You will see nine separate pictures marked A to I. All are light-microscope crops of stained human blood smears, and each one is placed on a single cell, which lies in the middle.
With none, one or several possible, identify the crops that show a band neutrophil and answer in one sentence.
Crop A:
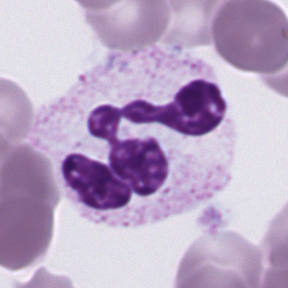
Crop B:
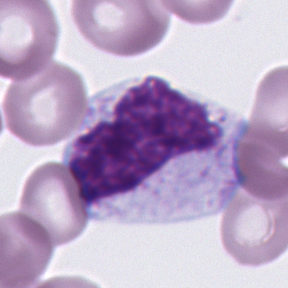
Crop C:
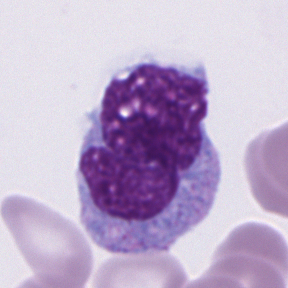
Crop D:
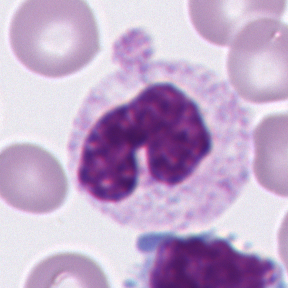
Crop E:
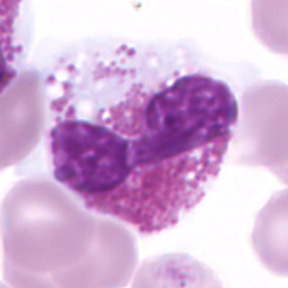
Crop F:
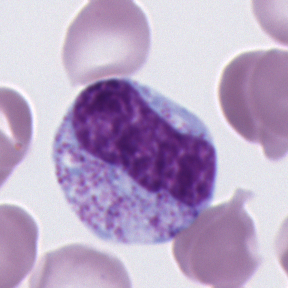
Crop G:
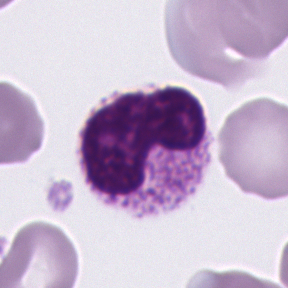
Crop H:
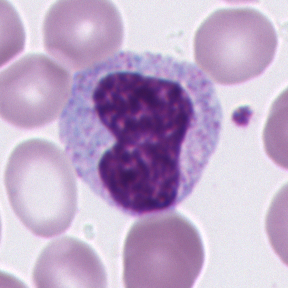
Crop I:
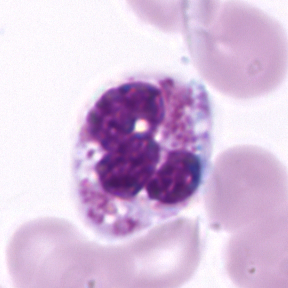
So, to put it simply, crops B, F, G and H show band neutrophils.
